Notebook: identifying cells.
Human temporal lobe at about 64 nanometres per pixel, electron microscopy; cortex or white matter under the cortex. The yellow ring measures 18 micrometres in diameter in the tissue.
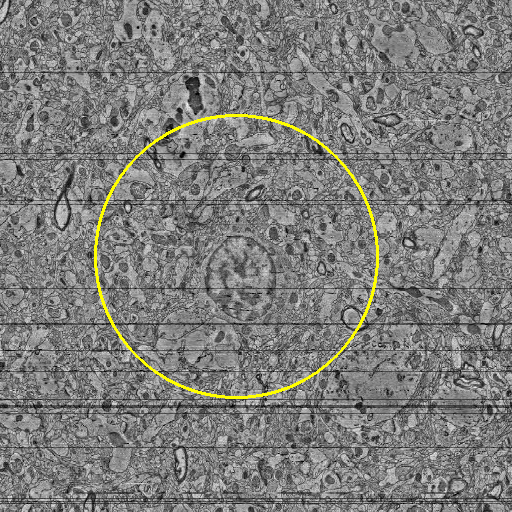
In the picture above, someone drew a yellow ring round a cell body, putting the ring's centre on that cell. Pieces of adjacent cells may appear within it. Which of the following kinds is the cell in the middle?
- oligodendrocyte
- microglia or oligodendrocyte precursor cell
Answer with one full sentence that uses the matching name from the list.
In this picture, the yellow ring is centred on the body of an oligodendrocyte.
